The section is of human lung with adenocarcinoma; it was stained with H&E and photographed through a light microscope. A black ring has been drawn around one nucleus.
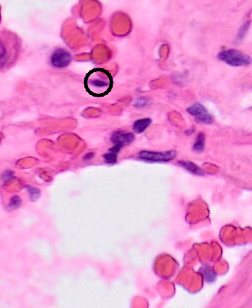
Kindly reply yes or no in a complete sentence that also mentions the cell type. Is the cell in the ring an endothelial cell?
Yes, it is an endothelial cell that the cell in the ring represents in this section.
